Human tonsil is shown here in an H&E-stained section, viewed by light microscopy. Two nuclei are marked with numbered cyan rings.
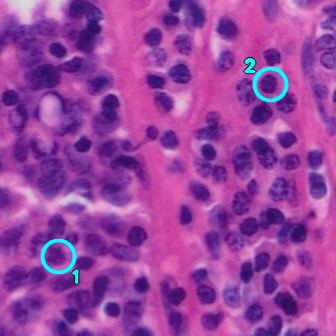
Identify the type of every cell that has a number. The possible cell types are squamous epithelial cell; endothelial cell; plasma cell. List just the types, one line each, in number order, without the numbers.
squamous epithelial cell
plasma cell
